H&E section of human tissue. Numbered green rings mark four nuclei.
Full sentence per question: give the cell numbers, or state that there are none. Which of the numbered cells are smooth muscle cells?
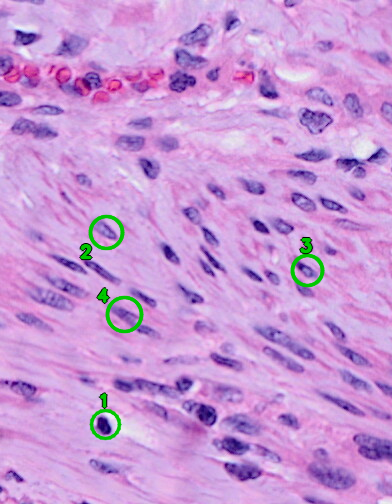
Each of the cells numbered 2, 3 and 4 is among the smooth muscle cells.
